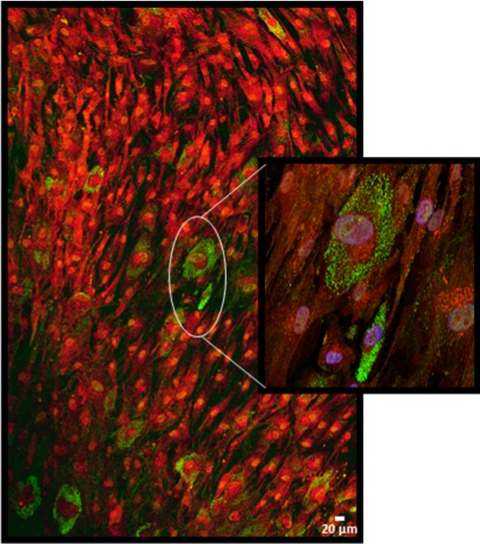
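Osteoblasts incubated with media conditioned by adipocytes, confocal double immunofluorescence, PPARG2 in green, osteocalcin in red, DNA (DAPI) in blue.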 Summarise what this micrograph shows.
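Most cells are elongated and spindle-shaped, and they lie side by side in long parallel streams that run diagonally across the field. Their cytoplasm is bright red, and each has an oval nucleus. Scattered among them are fewer, larger cells. These are broader and rounder or polygonal in outline, and their cytoplasm holds a green, finely granular signal. The enlarged inset shows one such large cell. Its green granular cytoplasm surrounds a pale oval nucleus, and it lies directly beside red spindle-shaped neighbours.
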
